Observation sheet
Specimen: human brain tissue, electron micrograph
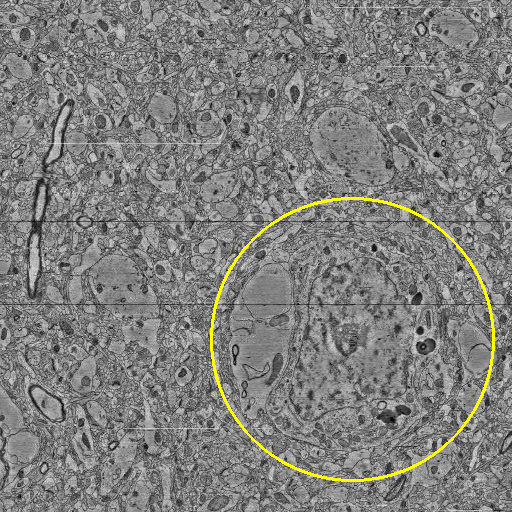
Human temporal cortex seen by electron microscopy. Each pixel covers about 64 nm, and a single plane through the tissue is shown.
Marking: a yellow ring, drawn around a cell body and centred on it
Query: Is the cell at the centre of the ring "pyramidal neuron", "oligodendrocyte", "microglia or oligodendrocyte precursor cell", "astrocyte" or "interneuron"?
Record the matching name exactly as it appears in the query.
microglia or oligodendrocyte precursor cell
